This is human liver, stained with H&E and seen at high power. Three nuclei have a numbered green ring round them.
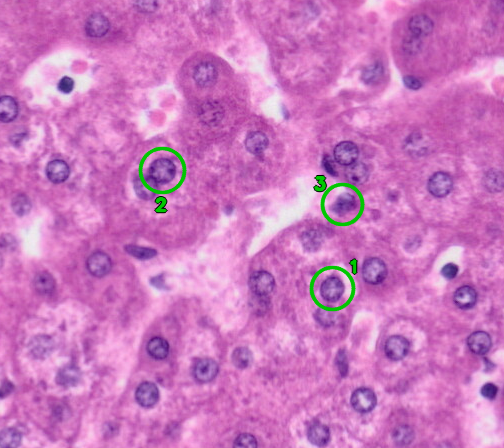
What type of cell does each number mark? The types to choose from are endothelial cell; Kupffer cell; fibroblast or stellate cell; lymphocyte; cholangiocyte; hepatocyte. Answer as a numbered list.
1. hepatocyte
2. hepatocyte
3. endothelial cell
